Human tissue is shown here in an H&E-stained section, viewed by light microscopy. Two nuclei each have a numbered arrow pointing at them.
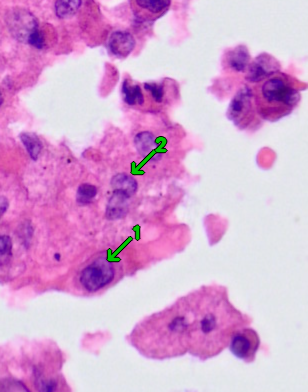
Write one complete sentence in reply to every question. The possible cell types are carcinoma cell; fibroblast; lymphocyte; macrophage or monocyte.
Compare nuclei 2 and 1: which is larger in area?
Of the two, number 1 is bigger and takes up about 2 times the area of number 2.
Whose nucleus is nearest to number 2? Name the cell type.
It is a macrophage or monocyte whose nucleus is nearest to number 2.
